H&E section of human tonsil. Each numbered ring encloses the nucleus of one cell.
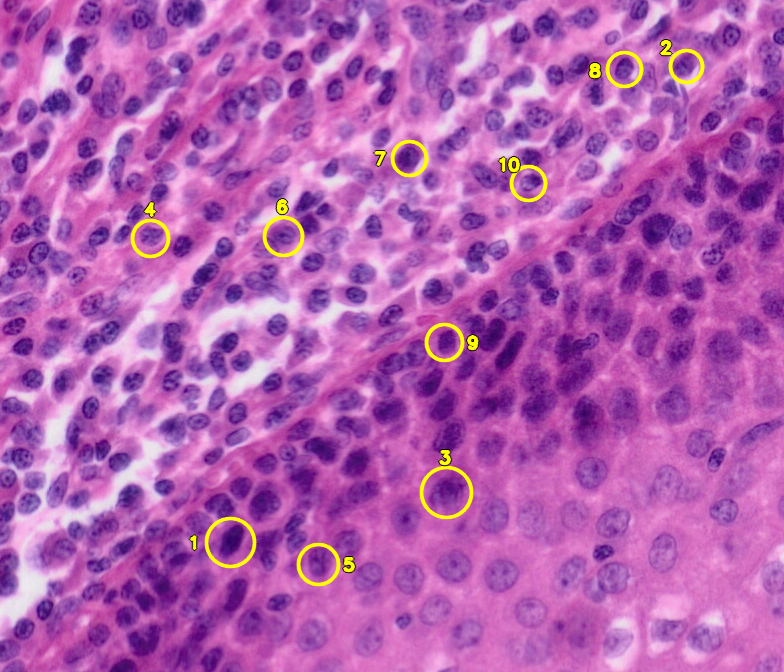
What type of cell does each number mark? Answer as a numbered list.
1. squamous epithelial cell
2. plasma cell
3. squamous epithelial cell
4. mast cell
5. squamous epithelial cell
6. plasma cell
7. plasma cell
8. plasma cell
9. squamous epithelial cell
10. plasma cell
